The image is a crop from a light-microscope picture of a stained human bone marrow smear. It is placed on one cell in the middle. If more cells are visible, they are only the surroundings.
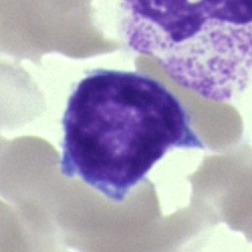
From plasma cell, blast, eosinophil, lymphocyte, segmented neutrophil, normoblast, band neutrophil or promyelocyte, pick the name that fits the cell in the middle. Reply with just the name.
lymphocyte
